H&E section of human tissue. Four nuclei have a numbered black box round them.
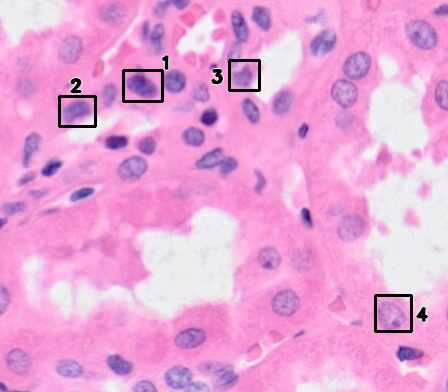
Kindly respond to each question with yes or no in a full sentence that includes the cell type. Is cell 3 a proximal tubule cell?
No, cell 3 does not represent a proximal tubule cell; it represents a collecting duct cell.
